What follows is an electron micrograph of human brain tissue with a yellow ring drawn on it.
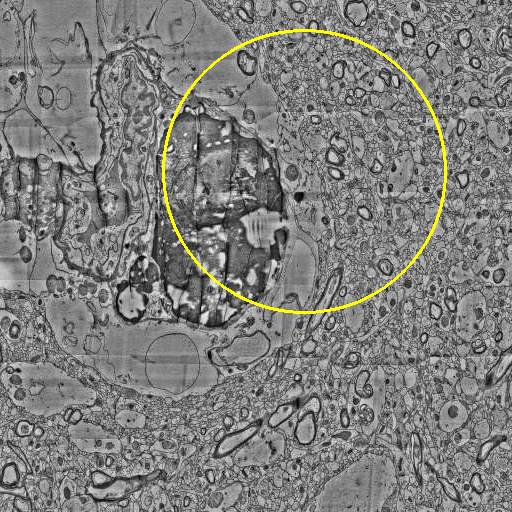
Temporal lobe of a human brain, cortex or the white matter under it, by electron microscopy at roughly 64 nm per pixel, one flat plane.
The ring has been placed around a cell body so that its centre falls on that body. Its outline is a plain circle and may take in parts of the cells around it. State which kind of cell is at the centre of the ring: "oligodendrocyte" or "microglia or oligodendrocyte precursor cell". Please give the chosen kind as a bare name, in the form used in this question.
microglia or oligodendrocyte precursor cell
